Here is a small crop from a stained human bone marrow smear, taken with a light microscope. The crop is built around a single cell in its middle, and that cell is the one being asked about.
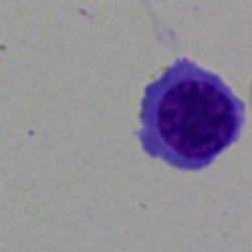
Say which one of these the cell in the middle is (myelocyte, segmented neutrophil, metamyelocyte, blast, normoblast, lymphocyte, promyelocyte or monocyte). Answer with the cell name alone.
normoblast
